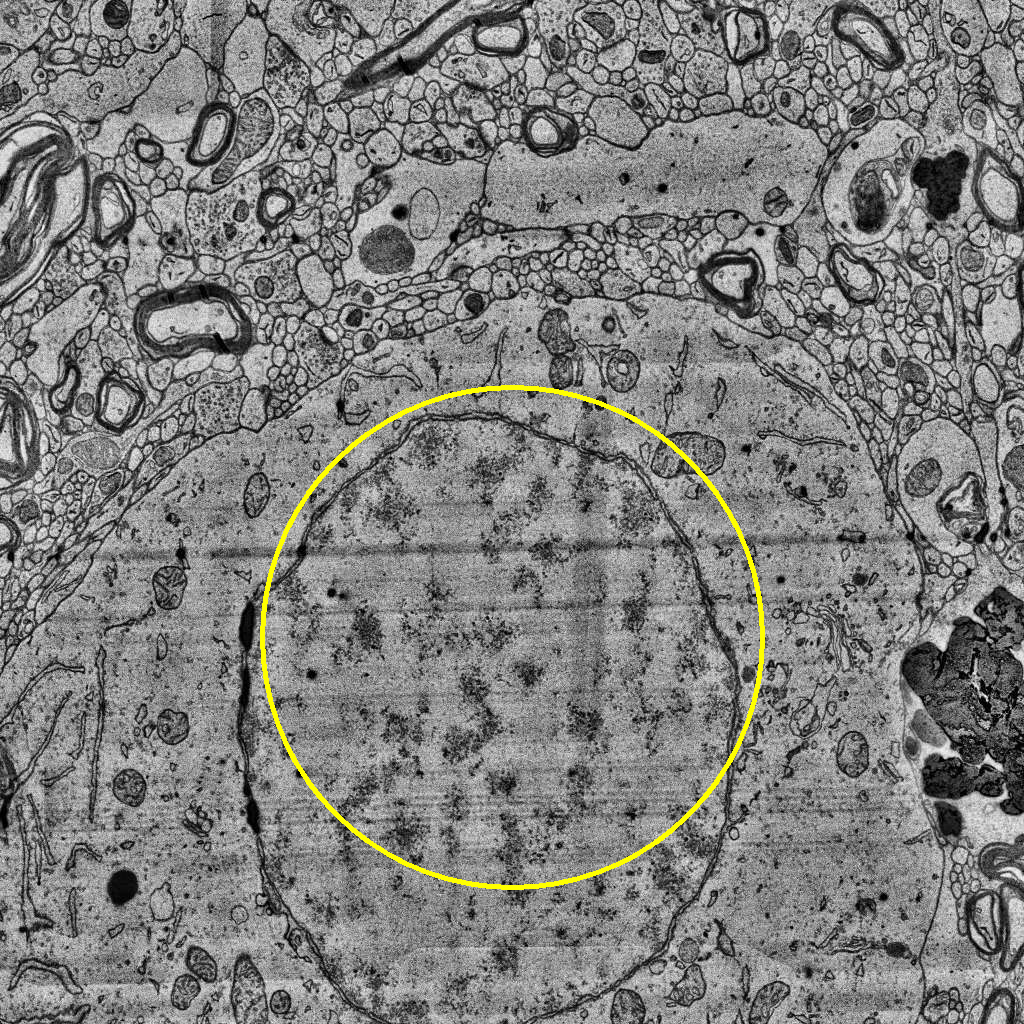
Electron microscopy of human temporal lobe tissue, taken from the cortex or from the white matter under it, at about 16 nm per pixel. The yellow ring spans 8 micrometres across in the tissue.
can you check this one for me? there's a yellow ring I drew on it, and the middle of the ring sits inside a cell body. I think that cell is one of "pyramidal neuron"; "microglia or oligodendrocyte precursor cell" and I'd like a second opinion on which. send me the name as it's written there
pyramidal neuron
